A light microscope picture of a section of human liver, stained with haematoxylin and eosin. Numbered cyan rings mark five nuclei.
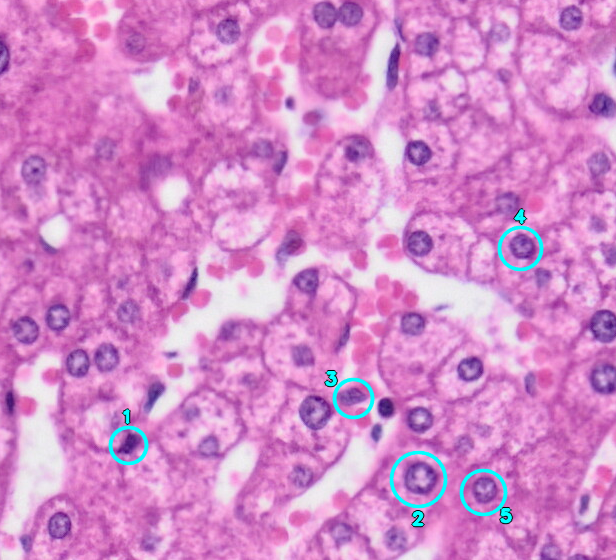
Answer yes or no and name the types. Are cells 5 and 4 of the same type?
Yes, both are hepatocytes.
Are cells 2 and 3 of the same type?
No, cell 2 is a hepatocyte and cell 3 is a Kupffer cell.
